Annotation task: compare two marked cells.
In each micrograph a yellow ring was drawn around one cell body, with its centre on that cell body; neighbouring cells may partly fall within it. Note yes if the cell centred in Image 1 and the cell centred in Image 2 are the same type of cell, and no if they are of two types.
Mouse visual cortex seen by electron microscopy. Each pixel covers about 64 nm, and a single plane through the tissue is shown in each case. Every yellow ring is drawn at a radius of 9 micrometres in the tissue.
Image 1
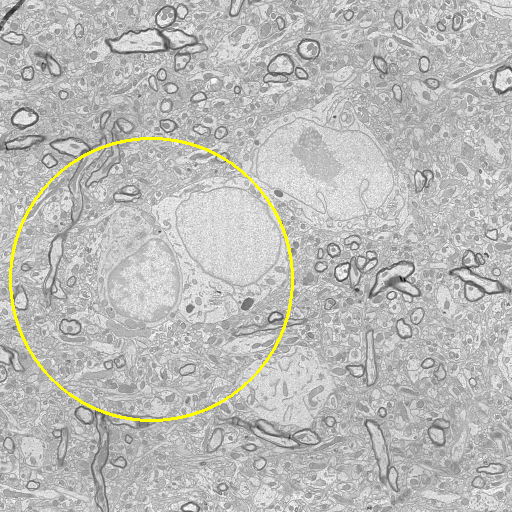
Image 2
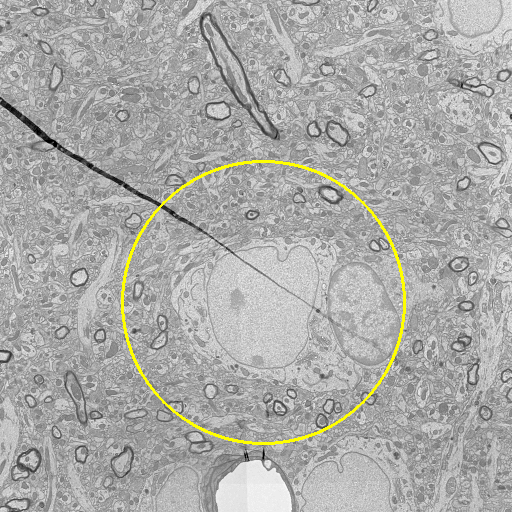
no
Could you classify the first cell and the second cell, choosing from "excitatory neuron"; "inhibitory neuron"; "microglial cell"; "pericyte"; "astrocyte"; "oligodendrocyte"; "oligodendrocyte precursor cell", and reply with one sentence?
The second cell is an excitatory neuron, while the first is an oligodendrocyte.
